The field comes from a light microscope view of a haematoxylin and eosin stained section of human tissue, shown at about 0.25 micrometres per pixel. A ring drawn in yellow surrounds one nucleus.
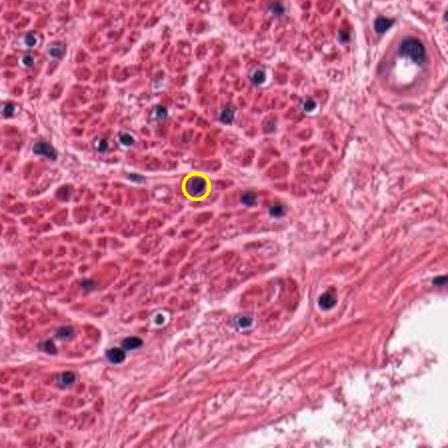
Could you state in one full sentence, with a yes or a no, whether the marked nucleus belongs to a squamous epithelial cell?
No, the nucleus that carries the marker is not part of a squamous epithelial cell.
